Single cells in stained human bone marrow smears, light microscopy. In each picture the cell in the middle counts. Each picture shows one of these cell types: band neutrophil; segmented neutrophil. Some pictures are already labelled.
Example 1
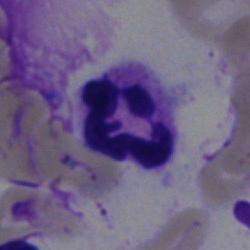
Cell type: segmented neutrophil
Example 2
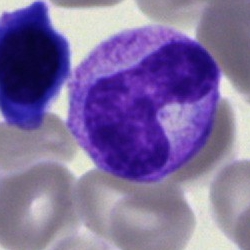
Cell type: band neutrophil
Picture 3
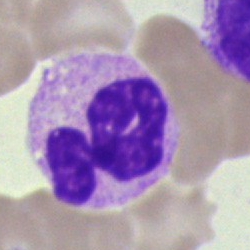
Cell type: segmented neutrophil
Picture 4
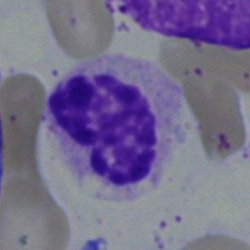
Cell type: band neutrophil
